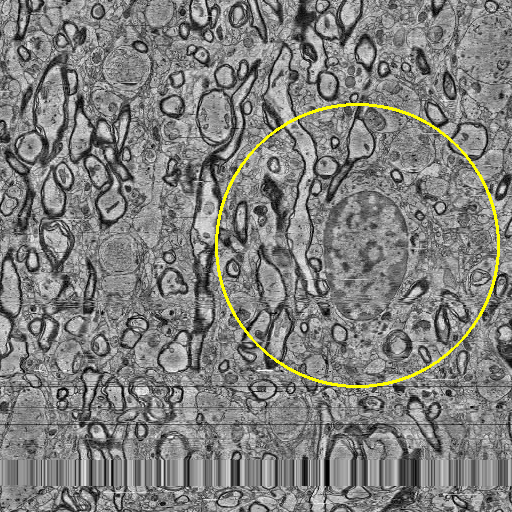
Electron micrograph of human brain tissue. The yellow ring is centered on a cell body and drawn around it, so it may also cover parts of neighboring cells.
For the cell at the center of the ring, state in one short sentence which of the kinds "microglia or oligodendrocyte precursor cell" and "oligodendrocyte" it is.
This ring is centered on a microglial cell or oligodendrocyte precursor cell.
